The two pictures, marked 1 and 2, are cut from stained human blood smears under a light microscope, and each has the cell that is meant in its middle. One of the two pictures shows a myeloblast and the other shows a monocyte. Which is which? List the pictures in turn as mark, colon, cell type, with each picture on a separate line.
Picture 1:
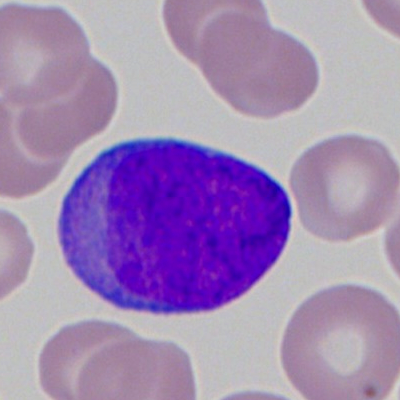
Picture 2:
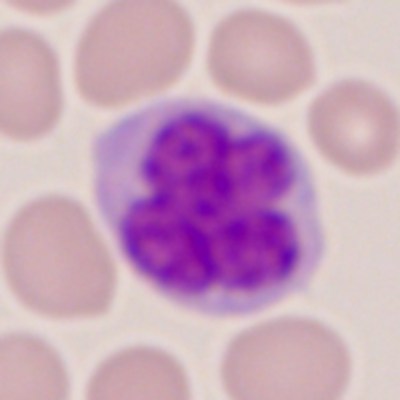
1: myeloblast
2: monocyte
